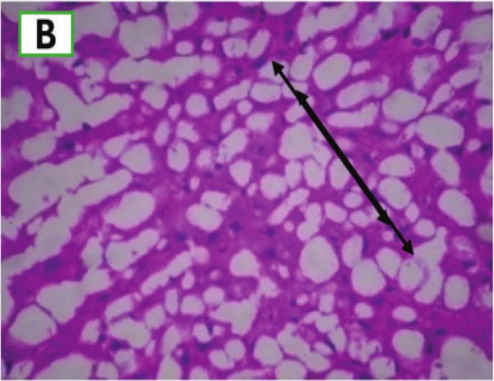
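Liver tissue with marked diffuse fatty change, in which large clear, rounded to oval vacuoles of varying size fill most of the field. The vacuoles appear empty and are separated by thin bands of pink-stained cytoplasm and tissue. Scattered small dark-purple nuclei lie in these bands, often pushed to the edges of the vacuoles. Some vacuoles run together into elongated spaces, and they seem loosely aligned in rows. The usual arrangement of hepatocyte cords is largely obscured by the vacuolation, and little normal-looking cytoplasm remains.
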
